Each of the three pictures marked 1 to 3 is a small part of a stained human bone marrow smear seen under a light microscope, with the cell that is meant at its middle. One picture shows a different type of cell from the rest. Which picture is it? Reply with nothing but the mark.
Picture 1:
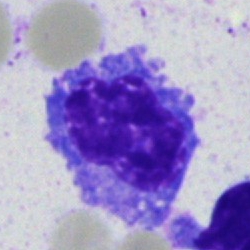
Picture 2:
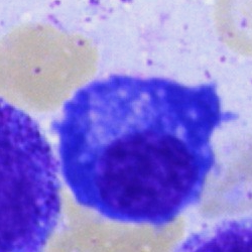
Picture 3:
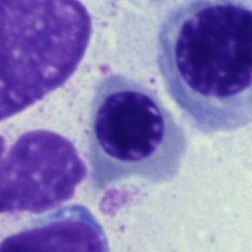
3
